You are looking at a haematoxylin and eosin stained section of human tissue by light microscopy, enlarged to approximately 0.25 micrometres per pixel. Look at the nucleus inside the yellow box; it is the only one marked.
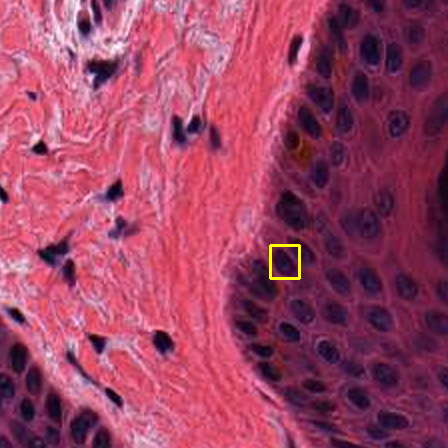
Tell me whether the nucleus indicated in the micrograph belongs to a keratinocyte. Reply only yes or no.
yes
